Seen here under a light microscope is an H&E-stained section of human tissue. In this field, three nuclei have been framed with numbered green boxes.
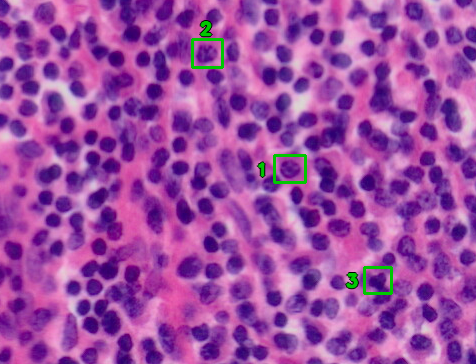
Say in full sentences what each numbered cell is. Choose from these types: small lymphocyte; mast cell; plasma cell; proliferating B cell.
Cells 1 and 2 are plasma cells. Cell 3 is a small lymphocyte.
